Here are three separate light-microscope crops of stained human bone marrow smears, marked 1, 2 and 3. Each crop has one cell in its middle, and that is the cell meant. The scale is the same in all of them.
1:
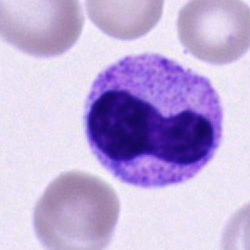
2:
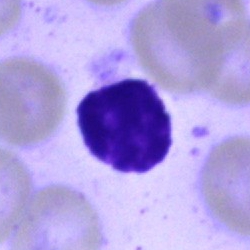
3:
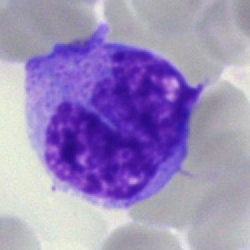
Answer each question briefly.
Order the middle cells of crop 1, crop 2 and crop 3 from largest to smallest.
3, 1, 2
